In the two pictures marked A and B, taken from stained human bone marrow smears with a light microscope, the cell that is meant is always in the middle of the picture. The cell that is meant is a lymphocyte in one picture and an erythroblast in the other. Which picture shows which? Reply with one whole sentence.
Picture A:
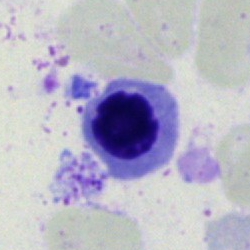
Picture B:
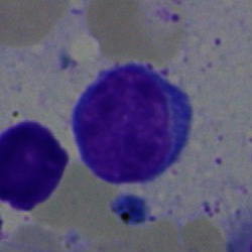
Picture A shows an erythroblast and picture B shows a lymphocyte.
